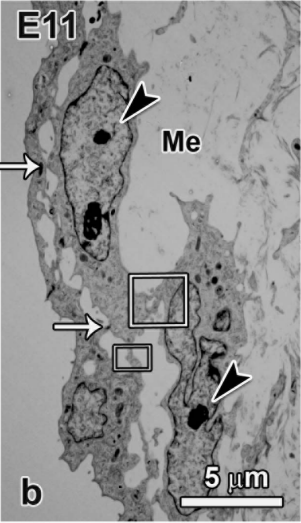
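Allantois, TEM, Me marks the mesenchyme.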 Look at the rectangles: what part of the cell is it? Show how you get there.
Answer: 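The boxed areas hold thin cytoplasmic extensions between neighbouring cells. The extensions touch the adjacent cell layer.
Answer: processes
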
